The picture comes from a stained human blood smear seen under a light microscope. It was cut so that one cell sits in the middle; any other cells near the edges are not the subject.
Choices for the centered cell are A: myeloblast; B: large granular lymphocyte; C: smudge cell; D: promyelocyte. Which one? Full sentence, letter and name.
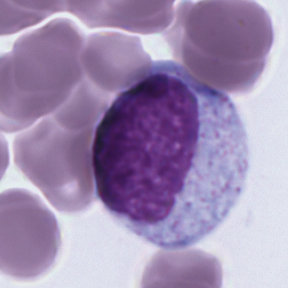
Option D is the correct selection, for the cell at the centre is a promyelocyte.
